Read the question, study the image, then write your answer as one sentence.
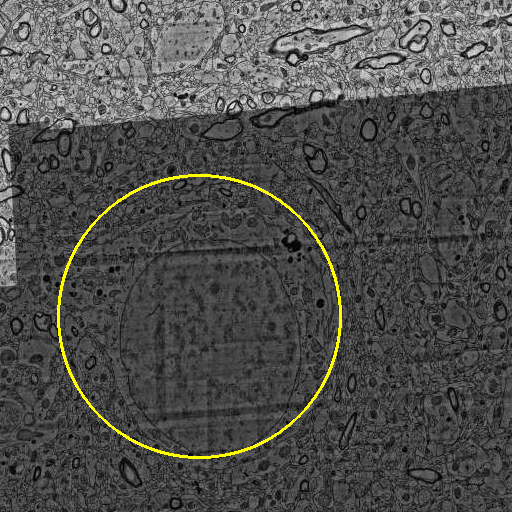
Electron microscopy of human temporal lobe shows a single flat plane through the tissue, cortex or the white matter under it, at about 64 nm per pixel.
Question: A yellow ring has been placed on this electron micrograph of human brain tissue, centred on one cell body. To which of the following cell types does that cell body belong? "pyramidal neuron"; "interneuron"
That cell body belongs to a pyramidal neuron.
